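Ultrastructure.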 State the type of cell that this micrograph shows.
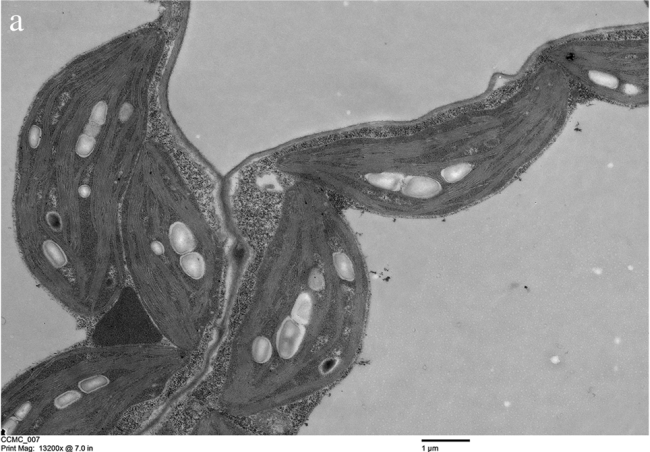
Mesophyll cell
